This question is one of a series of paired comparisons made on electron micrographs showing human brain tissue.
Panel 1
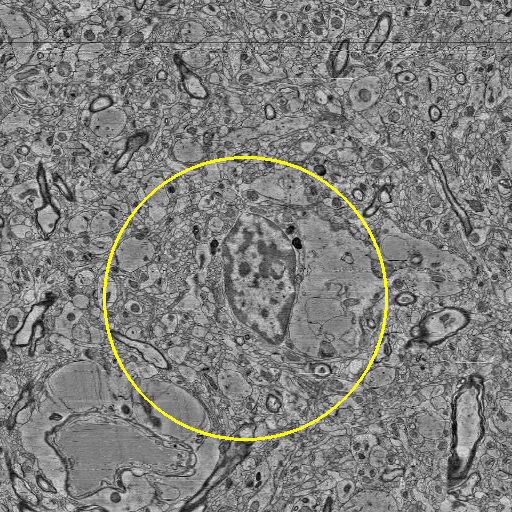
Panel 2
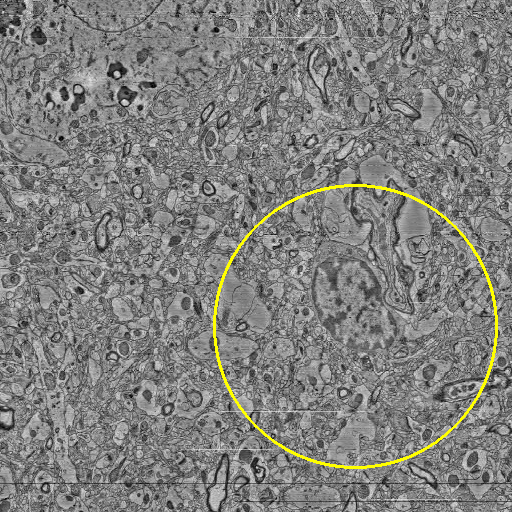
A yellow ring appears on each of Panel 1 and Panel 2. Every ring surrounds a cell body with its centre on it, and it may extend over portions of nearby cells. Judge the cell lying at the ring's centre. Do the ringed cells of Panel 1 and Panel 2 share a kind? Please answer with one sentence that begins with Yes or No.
No, the ring-centre cell in Panel 1 and the one in Panel 2 are of two kinds.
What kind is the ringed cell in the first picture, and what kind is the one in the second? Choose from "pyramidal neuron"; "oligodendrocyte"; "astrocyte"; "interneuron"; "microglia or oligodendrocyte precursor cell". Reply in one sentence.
The first cell is a microglial cell or oligodendrocyte precursor cell; the second is an oligodendrocyte.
